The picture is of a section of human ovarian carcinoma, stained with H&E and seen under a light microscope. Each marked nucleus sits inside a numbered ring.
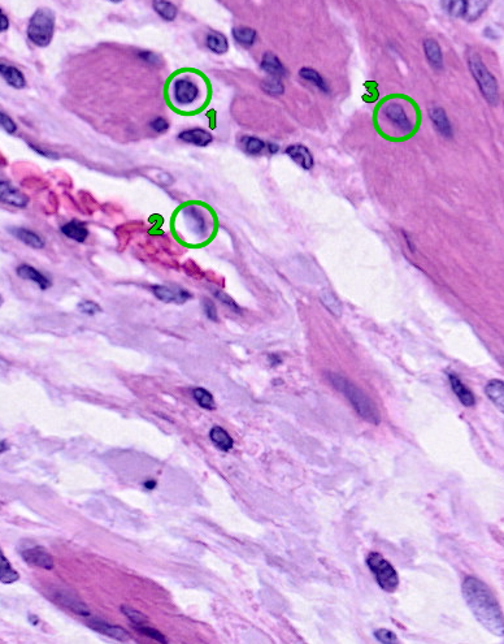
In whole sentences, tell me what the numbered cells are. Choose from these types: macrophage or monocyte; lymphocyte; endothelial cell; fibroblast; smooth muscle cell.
Cell 1 is a lymphocyte, cell 2 is an endothelial cell and cell 3 is a smooth muscle cell.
